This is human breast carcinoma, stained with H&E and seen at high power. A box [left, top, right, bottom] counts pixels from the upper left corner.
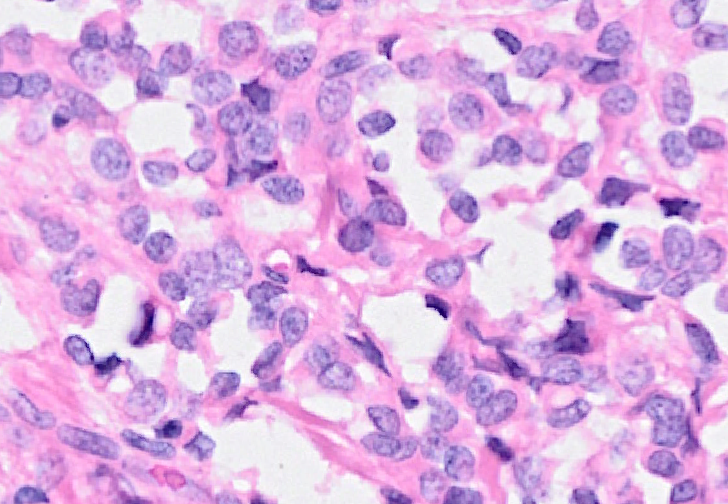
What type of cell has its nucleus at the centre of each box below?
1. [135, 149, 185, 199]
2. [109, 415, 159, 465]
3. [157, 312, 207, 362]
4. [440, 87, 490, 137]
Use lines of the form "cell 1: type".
cell 1: carcinoma cell
cell 2: endothelial cell
cell 3: carcinoma cell
cell 4: carcinoma cell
